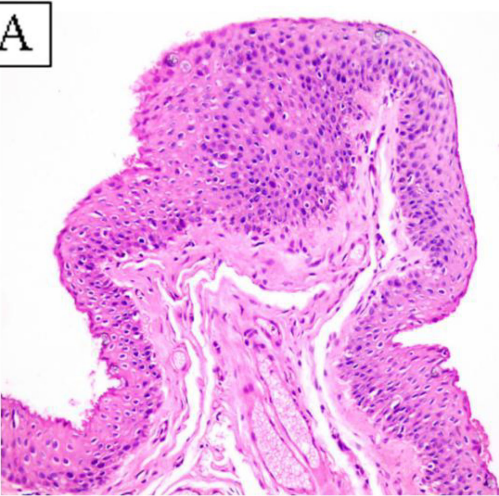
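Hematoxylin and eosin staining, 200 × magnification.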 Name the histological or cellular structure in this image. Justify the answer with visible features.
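A narrow central core of loose pink connective tissue runs up into a finger-like projection. The core contains a vessel filled with pale red blood cells. The core is covered on both sides by thick stratified epithelium.
Papillary fibrovascular cores.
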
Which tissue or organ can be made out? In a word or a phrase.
well-differentiated squamous epithelium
